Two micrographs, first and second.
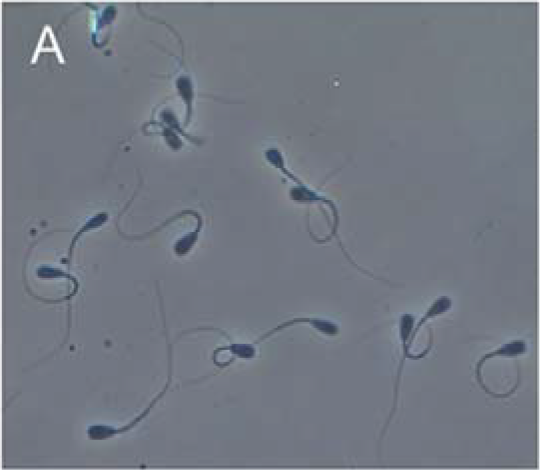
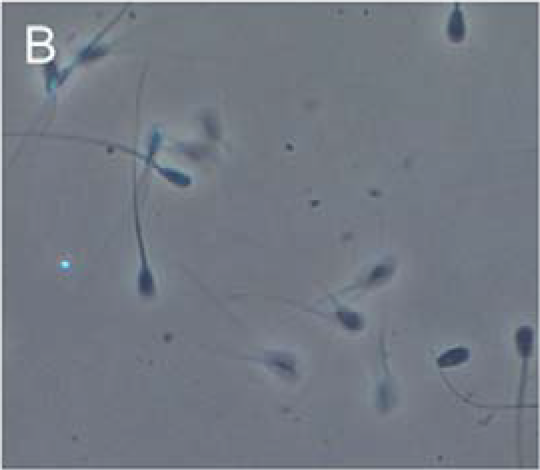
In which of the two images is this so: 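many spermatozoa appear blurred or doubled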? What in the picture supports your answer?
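Second image: several heads and tails look hazy and doubled. First image: heads and tails are sharp, many tails bent into loops.
Answer: the second image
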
